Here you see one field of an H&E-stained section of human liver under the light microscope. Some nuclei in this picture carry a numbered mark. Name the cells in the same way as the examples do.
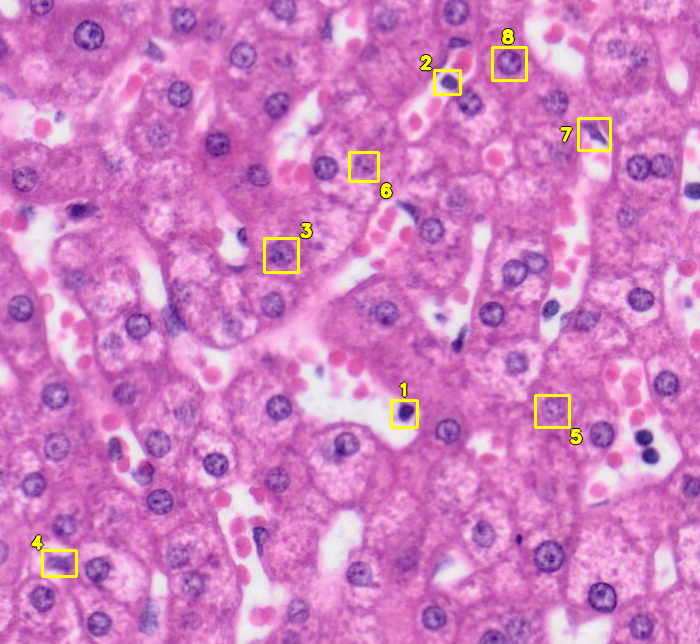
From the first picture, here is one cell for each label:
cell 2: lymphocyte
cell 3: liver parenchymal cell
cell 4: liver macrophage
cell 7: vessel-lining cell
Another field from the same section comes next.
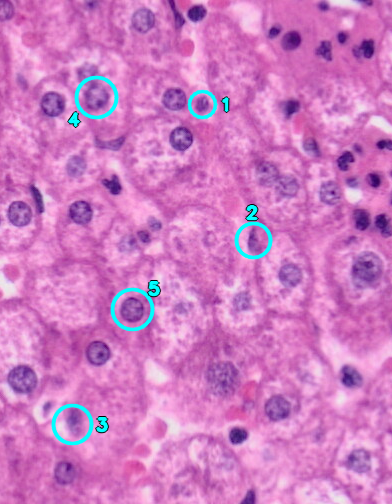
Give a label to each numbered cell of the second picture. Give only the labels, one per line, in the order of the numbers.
lymphocyte
vessel-lining cell
liver macrophage
liver parenchymal cell
liver parenchymal cell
